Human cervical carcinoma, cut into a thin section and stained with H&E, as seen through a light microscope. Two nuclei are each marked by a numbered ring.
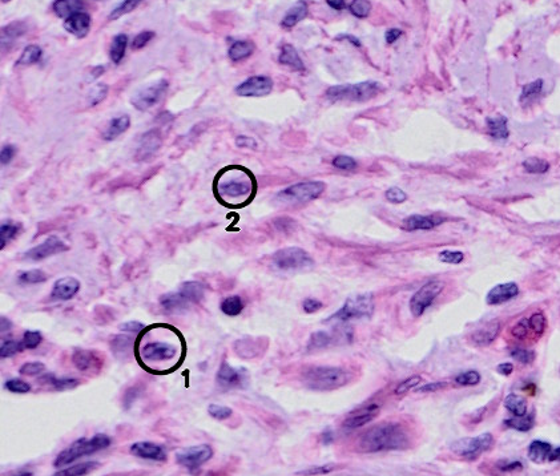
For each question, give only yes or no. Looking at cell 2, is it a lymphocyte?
no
